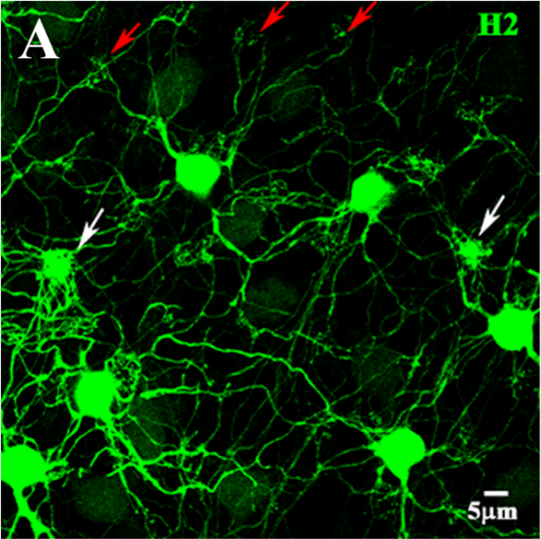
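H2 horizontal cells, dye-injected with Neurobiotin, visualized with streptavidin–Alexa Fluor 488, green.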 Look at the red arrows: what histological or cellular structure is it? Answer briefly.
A: Sparse groups of dendrites.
